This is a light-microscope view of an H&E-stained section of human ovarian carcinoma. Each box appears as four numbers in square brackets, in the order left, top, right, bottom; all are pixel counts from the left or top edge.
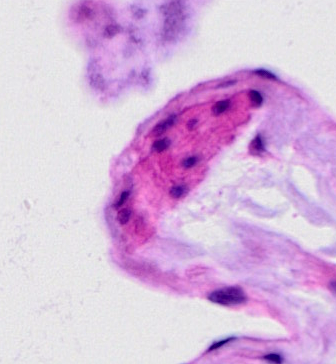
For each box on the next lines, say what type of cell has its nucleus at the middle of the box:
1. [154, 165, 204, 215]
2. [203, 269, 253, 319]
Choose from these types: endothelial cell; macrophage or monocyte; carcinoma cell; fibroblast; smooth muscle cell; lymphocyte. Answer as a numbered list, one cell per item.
1. smooth muscle cell
2. endothelial cell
